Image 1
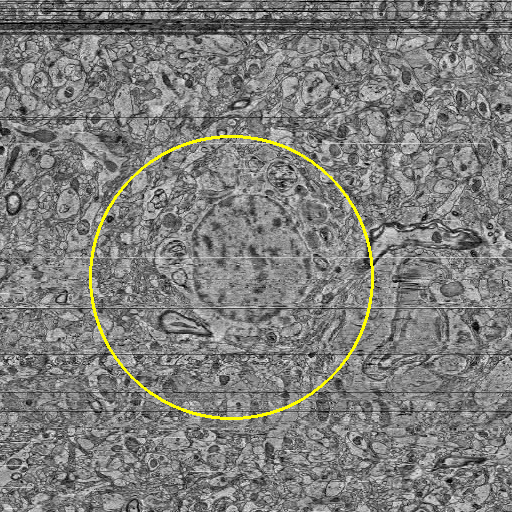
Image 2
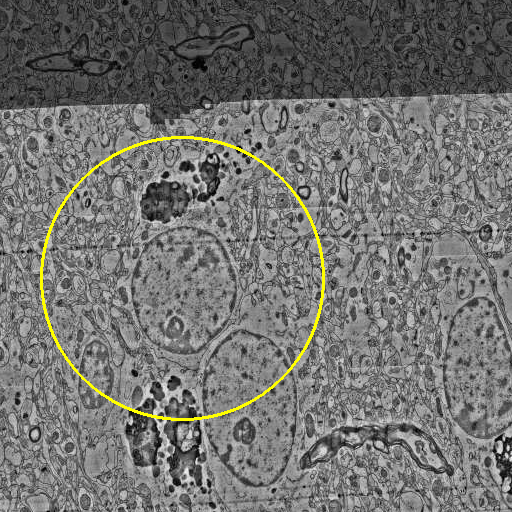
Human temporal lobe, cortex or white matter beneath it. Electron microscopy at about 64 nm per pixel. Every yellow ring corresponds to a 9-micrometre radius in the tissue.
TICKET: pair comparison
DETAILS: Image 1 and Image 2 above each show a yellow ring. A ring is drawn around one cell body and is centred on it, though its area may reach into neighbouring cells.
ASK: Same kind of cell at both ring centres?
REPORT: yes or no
yes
